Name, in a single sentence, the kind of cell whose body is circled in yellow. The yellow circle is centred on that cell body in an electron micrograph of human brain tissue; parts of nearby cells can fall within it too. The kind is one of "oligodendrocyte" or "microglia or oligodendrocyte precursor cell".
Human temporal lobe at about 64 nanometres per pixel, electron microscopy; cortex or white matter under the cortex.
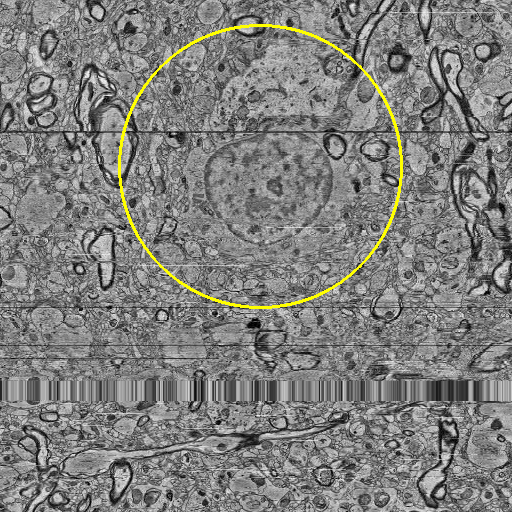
The circled cell body belongs to an oligodendrocyte.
